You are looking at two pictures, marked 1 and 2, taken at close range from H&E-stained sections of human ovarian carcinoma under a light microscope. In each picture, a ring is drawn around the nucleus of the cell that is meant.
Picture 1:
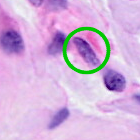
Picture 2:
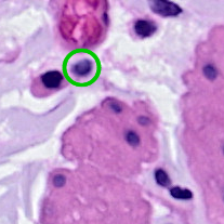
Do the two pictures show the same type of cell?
no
